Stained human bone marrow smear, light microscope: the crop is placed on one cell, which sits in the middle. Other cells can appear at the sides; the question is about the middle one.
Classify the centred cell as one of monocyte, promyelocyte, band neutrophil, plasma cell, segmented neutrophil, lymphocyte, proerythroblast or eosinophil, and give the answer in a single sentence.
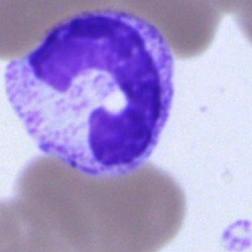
Classified as a band neutrophil is the cell in the middle of this crop.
